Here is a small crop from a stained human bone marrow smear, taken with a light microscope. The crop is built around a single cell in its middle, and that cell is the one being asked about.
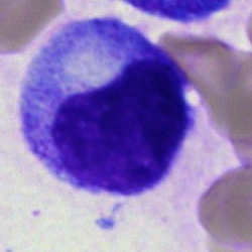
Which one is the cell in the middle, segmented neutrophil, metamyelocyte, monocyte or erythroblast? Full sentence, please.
Looking at the middle of the crop, the cell there is a metamyelocyte.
